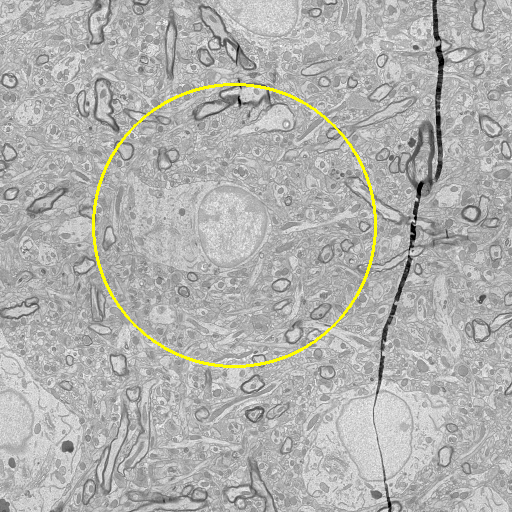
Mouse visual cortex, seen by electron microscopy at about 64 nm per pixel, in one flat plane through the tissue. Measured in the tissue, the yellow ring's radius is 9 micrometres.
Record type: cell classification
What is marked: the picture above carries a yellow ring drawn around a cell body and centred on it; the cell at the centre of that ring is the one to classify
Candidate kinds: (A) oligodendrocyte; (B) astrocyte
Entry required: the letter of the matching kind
A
